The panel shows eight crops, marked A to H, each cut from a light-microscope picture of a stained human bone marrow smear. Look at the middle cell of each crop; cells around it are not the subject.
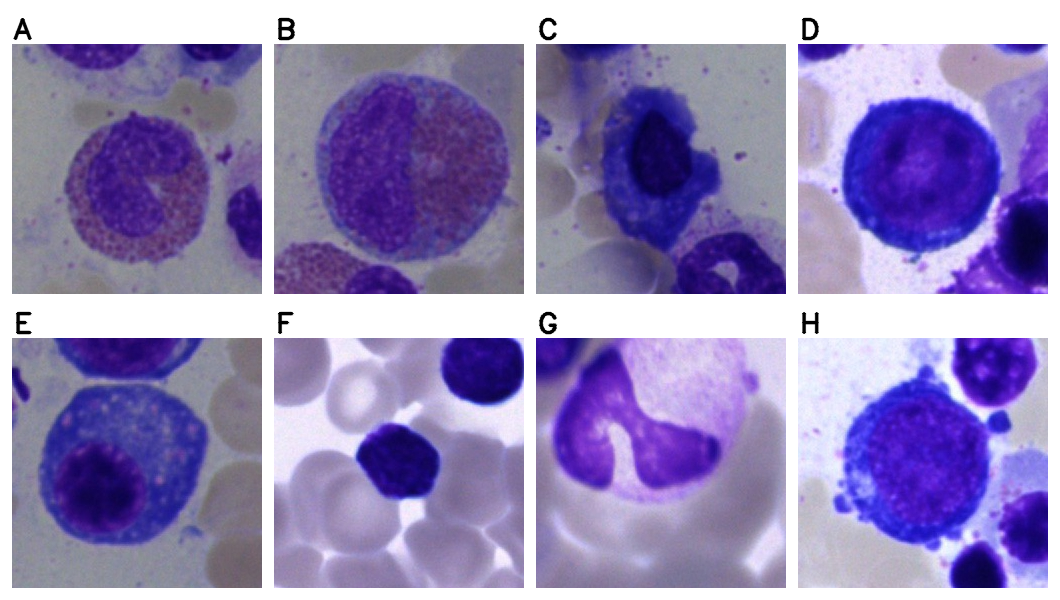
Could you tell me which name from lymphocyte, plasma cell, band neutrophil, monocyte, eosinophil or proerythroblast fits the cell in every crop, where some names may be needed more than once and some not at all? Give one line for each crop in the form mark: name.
A: eosinophil
B: eosinophil
C: plasma cell
D: proerythroblast
E: plasma cell
F: lymphocyte
G: band neutrophil
H: proerythroblast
